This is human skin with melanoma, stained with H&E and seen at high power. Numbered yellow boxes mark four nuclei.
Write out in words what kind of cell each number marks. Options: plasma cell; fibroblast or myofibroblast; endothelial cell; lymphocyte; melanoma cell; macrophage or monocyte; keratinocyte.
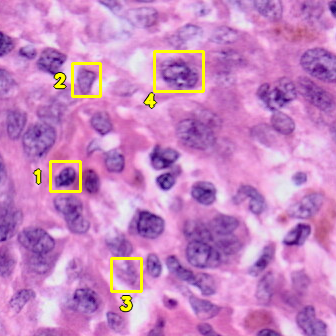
Cell 1 is a lymphocyte, cell 2 is a macrophage or monocyte, cell 3 is a melanoma cell and cell 4 is a melanoma cell.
